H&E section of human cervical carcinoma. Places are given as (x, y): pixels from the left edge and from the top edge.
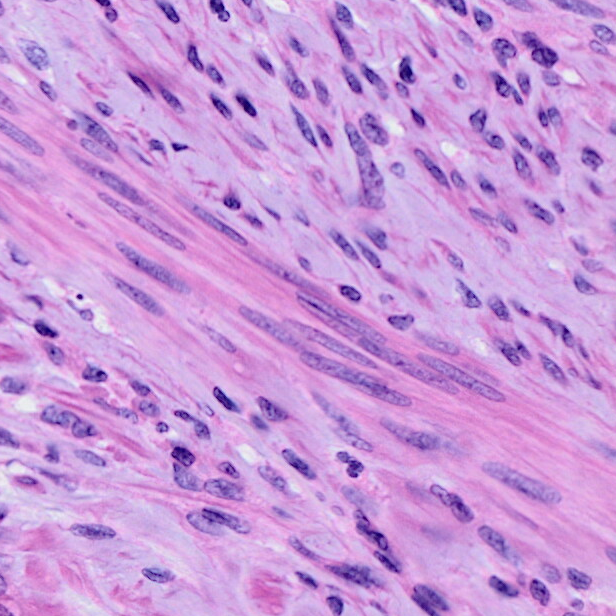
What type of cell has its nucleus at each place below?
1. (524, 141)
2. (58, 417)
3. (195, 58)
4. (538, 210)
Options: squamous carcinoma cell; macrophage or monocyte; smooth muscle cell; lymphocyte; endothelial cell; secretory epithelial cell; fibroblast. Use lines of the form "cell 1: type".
cell 1: smooth muscle cell
cell 2: endothelial cell
cell 3: smooth muscle cell
cell 4: smooth muscle cell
